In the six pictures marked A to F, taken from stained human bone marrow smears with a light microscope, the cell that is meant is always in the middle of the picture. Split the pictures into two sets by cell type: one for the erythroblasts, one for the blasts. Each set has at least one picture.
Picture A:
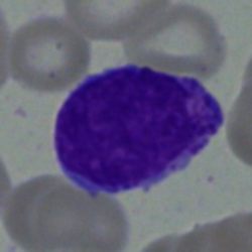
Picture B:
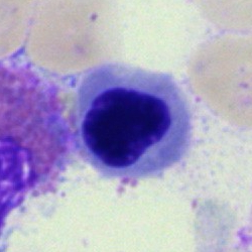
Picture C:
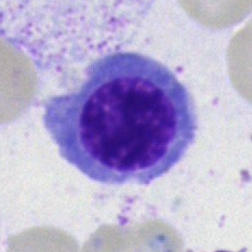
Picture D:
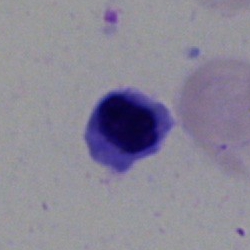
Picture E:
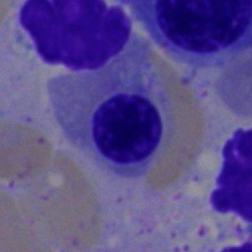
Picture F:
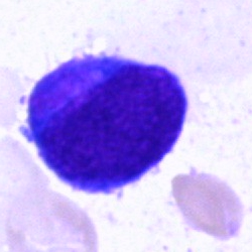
A: blast
B: erythroblast
C: erythroblast
D: erythroblast
E: erythroblast
F: blast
